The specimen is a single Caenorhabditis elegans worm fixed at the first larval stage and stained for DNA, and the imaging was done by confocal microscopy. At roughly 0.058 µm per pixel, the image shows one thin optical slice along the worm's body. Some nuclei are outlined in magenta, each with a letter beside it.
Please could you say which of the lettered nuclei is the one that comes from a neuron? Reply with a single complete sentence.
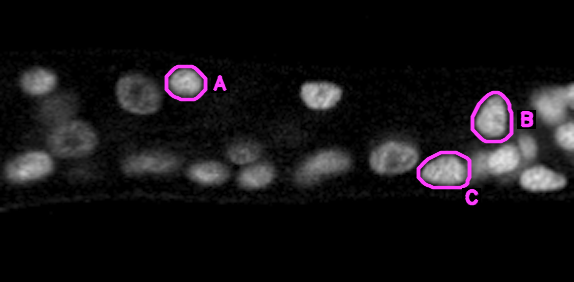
C is the one that belongs to a neuron.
